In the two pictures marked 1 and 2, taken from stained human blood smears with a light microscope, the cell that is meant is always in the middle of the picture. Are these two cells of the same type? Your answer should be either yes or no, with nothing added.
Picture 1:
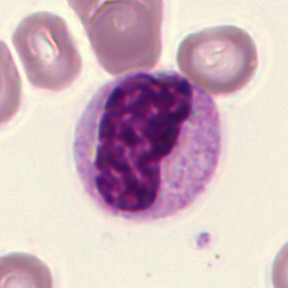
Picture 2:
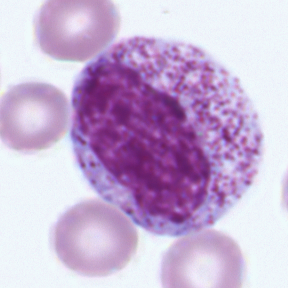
no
